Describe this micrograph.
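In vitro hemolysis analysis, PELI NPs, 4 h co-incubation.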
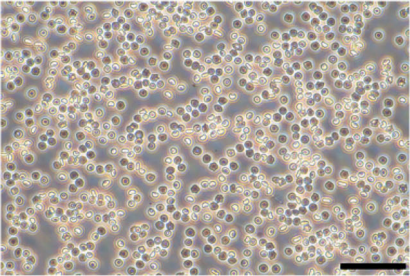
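These are erythrocytes, red blood cells, seen by phase contrast and filling the field densely. The cells touch one another in clusters and short chains but keep their round outlines intact.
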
